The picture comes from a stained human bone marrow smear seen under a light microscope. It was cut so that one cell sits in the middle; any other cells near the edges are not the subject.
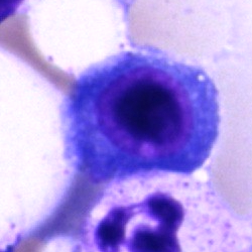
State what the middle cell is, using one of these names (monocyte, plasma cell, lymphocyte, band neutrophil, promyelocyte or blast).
plasma cell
